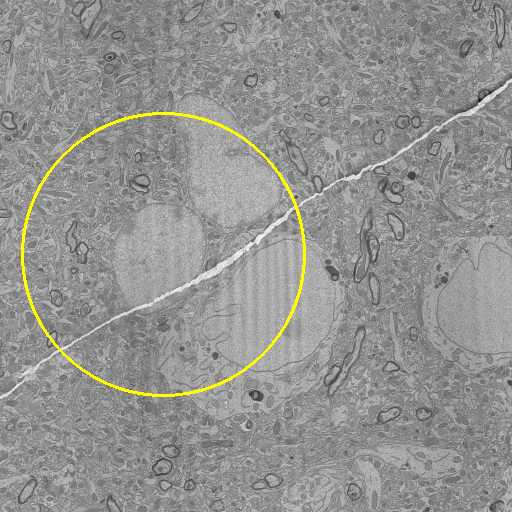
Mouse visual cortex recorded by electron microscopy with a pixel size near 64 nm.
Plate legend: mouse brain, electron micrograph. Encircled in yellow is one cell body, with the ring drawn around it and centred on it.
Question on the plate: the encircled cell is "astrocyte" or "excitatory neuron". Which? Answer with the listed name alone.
astrocyte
